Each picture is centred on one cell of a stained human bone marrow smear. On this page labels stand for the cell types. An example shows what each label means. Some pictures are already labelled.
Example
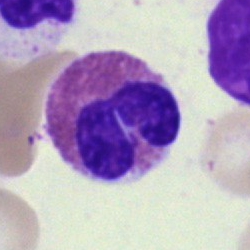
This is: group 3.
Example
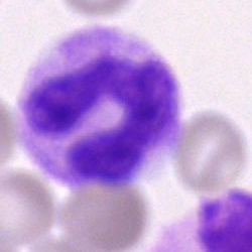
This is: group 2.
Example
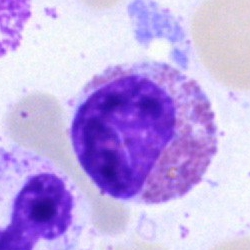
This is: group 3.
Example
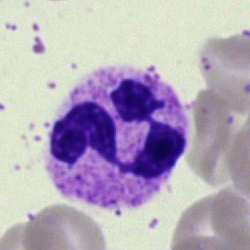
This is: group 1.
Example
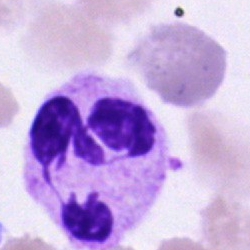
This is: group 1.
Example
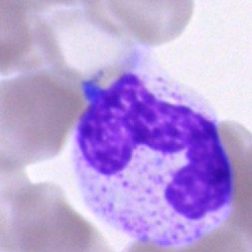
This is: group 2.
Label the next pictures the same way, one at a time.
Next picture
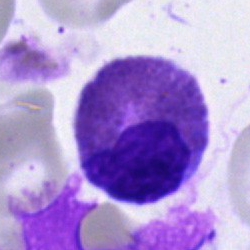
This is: group 3.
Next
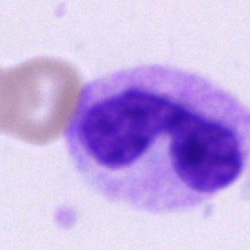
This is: group 2.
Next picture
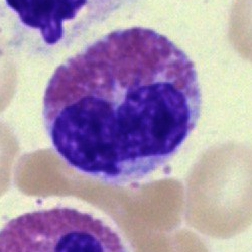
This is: group 3.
